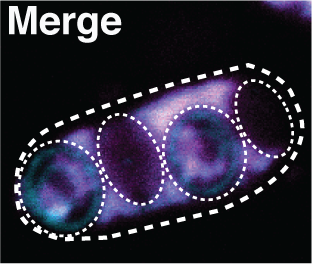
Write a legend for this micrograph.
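This is a single elongated ascus, traced by a thick dashed line, holding four round spores lined up along its length, each outlined by a thinner dashed line. Magenta fills much of the ascus around the spores and also lies within some of them. Two of the spores, at one end and third along, show rings of signal at their edges with cyan mixed in, while the other two look darker inside. The spores sit close together and fill most of the sac.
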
